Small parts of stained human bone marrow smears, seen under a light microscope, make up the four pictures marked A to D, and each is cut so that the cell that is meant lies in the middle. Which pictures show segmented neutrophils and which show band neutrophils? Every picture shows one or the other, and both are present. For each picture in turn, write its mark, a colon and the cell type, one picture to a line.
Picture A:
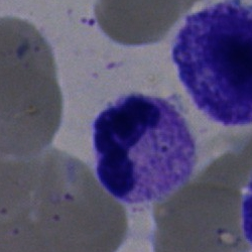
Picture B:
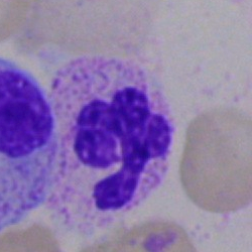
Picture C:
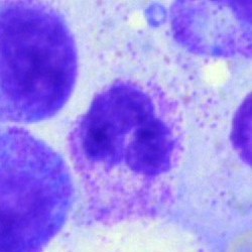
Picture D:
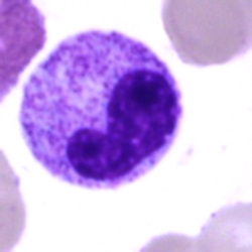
A: segmented neutrophil
B: segmented neutrophil
C: segmented neutrophil
D: band neutrophil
